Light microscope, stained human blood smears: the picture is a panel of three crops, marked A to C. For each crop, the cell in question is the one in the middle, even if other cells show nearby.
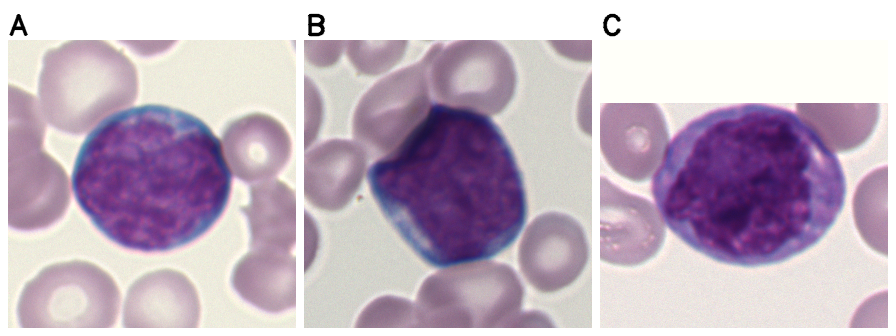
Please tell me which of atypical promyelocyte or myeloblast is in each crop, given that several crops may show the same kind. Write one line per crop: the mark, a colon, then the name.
A: myeloblast
B: myeloblast
C: atypical promyelocyte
